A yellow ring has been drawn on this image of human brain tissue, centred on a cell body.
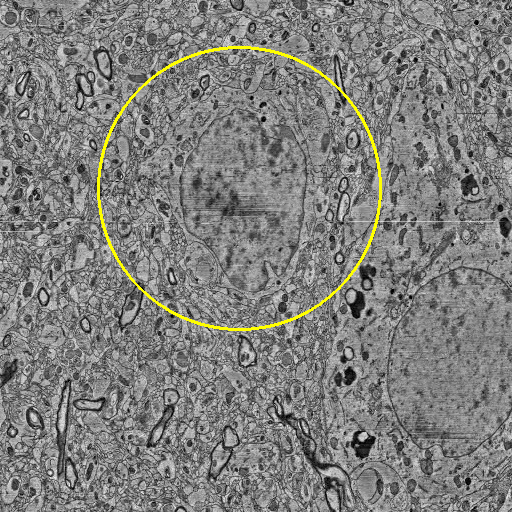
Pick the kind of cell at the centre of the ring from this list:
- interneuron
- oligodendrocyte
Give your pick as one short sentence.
The centre of the ring holds an interneuron.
